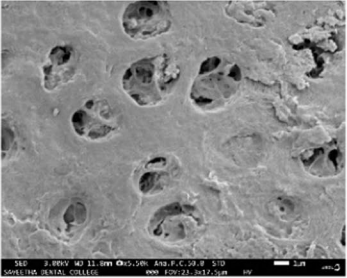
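This is a dentine surface viewed face-on, so the dentinal tubules are seen as round openings scattered over the field. The surrounding surface is smooth and appears coated, without the granular texture of a freshly fractured surface. Many of the openings are not empty but hold irregular, lumpy material inside them. Some openings look narrowed or partly closed by this material, while others remain deeper and darker.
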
